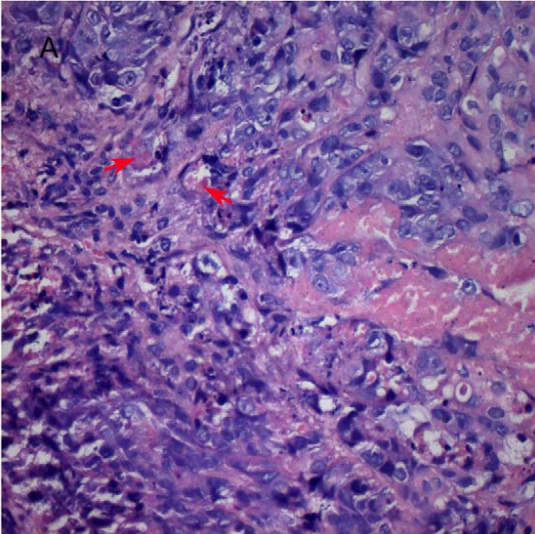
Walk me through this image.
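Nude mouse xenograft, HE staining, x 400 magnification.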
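This is tumor tissue made of tightly crowded tumor cells with large, irregular nuclei, many of them with coarse dark chromatin and visible nucleoli. Between the groups of cells run bands of pink, cell-poor material. Small clear spaces and slits are scattered among the tumor cells.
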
